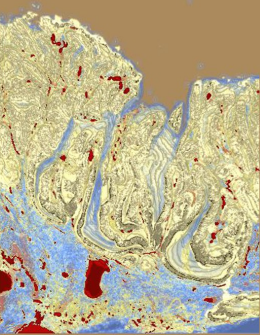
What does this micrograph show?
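This is a vertical cut through colonic-type mucosa made of tubular glandular crypts, shown in pale yellow, set in a blue-stained stroma. The crypts run from the surface towards the deep part of the mucosa but many are bent, folded and curved instead of standing straight and parallel. Their widths vary markedly, with some narrow tubes beside broader, coiled ones, and several crypt bases near the bottom are swollen and rounded. Small red-coloured profiles, some elongated and some dilated, lie between the crypts and are larger and more numerous towards the deep left part. The surface on the left is raised compared with the lower, flatter surface on the right.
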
